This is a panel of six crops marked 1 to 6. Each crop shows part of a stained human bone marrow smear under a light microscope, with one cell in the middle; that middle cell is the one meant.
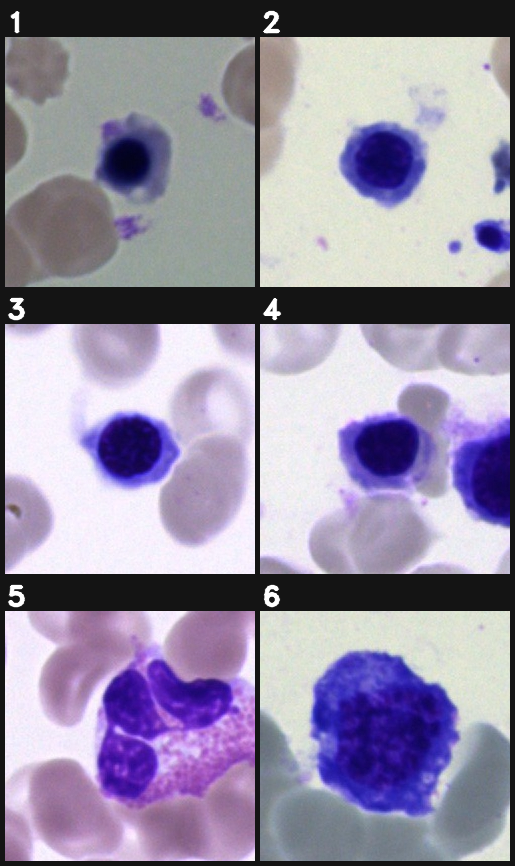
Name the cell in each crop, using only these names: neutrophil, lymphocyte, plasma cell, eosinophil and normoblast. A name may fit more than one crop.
1: normoblast
2: normoblast
3: normoblast
4: normoblast
5: eosinophil
6: plasma cell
